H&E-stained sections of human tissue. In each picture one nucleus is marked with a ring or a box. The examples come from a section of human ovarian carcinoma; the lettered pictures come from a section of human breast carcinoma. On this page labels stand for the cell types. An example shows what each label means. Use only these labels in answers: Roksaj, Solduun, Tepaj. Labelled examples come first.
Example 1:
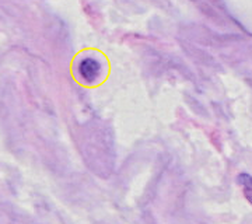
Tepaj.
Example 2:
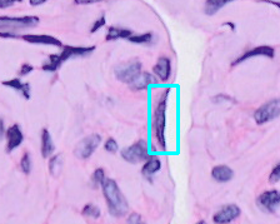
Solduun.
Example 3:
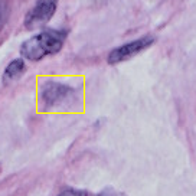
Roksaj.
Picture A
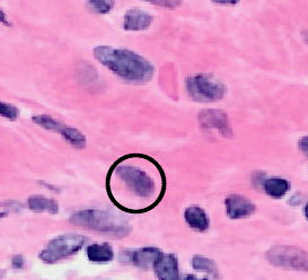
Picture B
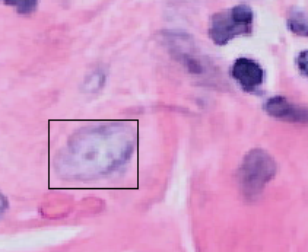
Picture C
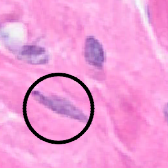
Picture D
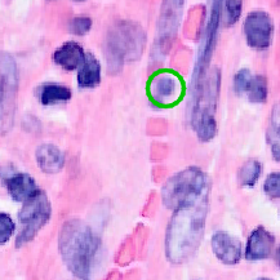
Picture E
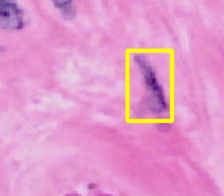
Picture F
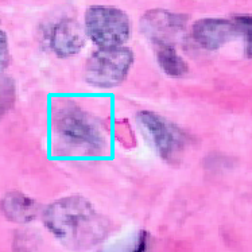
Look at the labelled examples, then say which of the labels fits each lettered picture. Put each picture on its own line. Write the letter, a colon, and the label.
A: Tepaj.
B: Solduun.
C: Roksaj.
D: Solduun.
E: Roksaj.
F: Solduun.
